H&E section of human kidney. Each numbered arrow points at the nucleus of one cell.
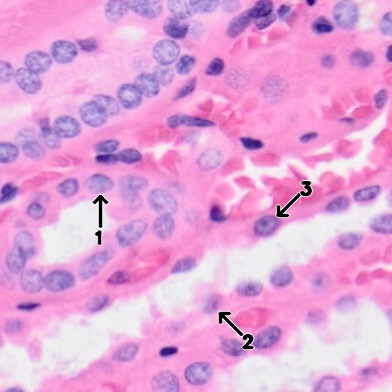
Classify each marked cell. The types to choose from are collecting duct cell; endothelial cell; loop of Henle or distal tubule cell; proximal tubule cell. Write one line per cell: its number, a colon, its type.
1: collecting duct cell
2: loop of Henle or distal tubule cell
3: loop of Henle or distal tubule cell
